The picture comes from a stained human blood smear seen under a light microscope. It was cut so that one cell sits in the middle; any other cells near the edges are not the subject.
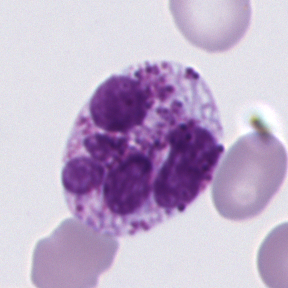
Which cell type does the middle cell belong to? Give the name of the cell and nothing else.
basophil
